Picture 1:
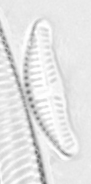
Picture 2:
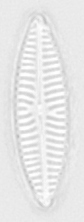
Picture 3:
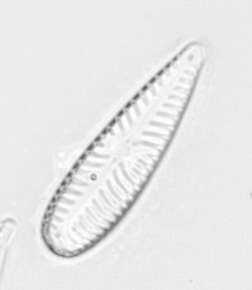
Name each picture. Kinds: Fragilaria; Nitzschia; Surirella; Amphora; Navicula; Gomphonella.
Picture 1: Amphora
Picture 2: Navicula
Picture 3: Gomphonella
